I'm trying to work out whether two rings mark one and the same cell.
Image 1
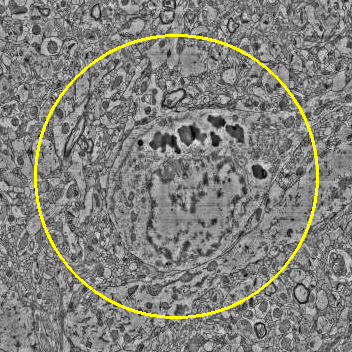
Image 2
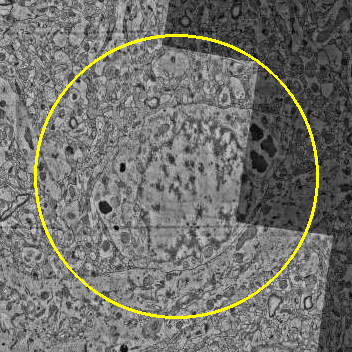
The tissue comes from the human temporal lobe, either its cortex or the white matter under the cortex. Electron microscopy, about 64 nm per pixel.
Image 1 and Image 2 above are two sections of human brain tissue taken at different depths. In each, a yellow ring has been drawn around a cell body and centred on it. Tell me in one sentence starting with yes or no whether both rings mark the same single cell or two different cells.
Yes, the same cell appears within both yellow rings.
